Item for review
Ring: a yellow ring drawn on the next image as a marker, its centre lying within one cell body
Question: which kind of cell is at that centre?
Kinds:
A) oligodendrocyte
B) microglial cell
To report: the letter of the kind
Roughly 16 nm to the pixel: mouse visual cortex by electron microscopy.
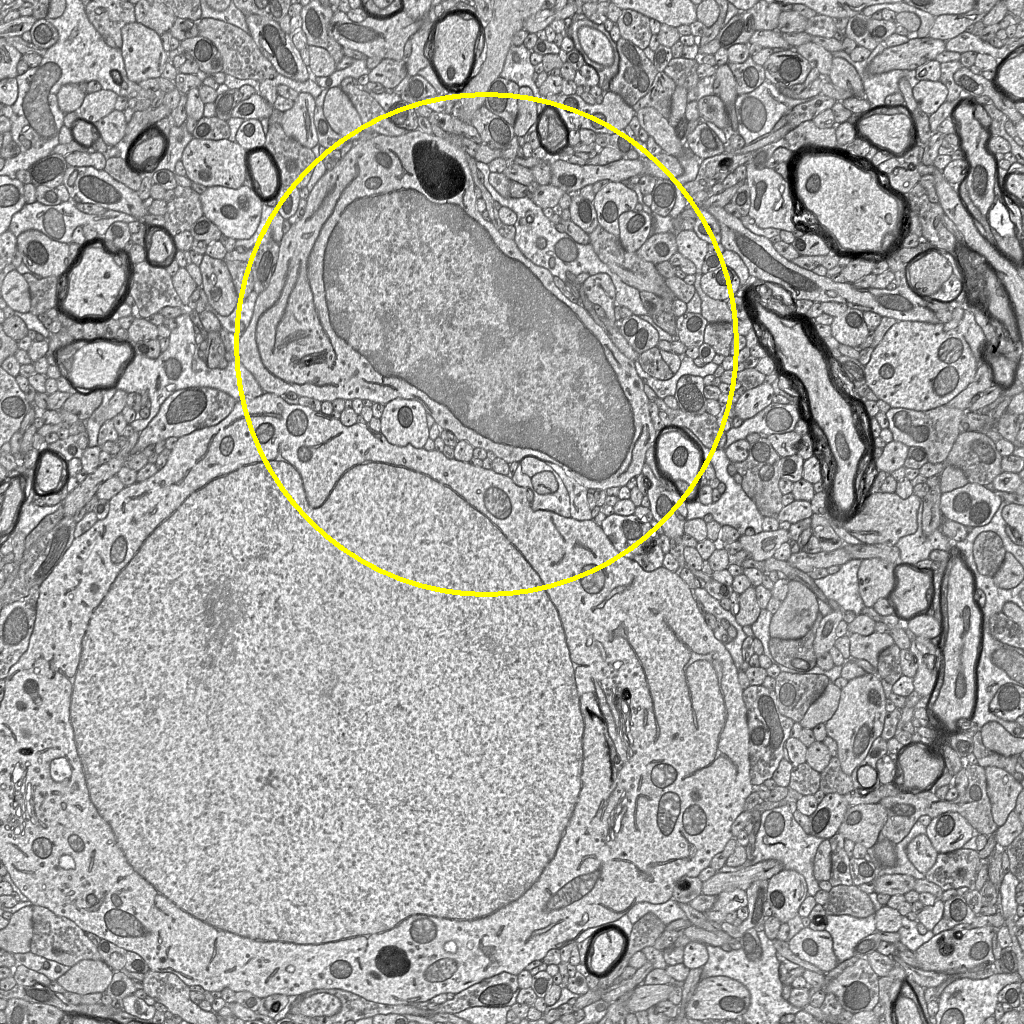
B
